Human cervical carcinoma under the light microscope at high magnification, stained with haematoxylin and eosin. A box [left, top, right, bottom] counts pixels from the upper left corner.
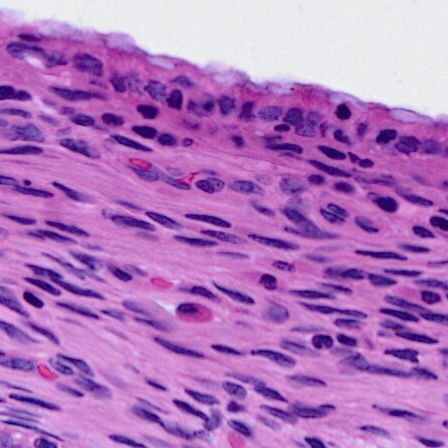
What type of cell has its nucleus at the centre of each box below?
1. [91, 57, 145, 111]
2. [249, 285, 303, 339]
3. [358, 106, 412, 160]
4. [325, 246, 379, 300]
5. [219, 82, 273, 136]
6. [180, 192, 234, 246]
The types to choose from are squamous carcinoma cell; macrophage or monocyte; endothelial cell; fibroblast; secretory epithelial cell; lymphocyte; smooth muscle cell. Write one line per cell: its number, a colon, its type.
1: secretory epithelial cell
2: fibroblast
3: secretory epithelial cell
4: fibroblast
5: secretory epithelial cell
6: fibroblast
